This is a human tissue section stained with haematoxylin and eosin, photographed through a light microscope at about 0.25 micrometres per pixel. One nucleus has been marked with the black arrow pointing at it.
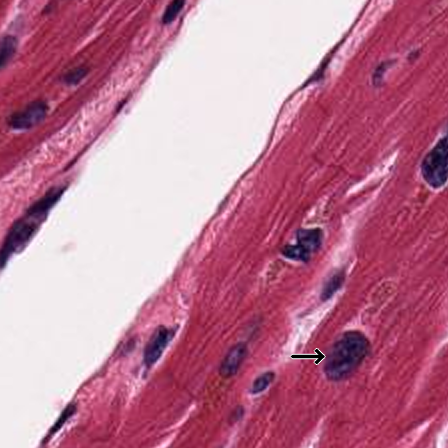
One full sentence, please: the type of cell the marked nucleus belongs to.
The marked nucleus is identified as belonging to a cardiomyocyte.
